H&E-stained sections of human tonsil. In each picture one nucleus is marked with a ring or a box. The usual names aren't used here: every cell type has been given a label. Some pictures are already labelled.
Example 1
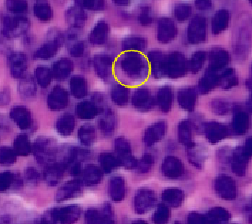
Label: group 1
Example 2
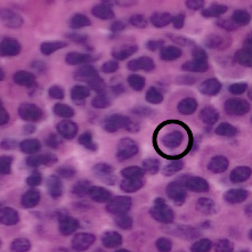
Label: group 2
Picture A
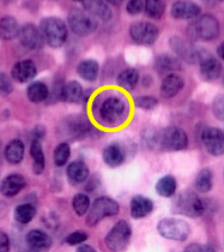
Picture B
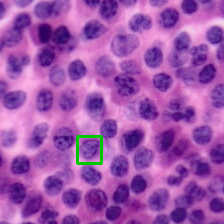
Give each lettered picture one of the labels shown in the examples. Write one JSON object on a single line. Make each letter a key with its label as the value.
{"A": "group 2", "B": "group 2"}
